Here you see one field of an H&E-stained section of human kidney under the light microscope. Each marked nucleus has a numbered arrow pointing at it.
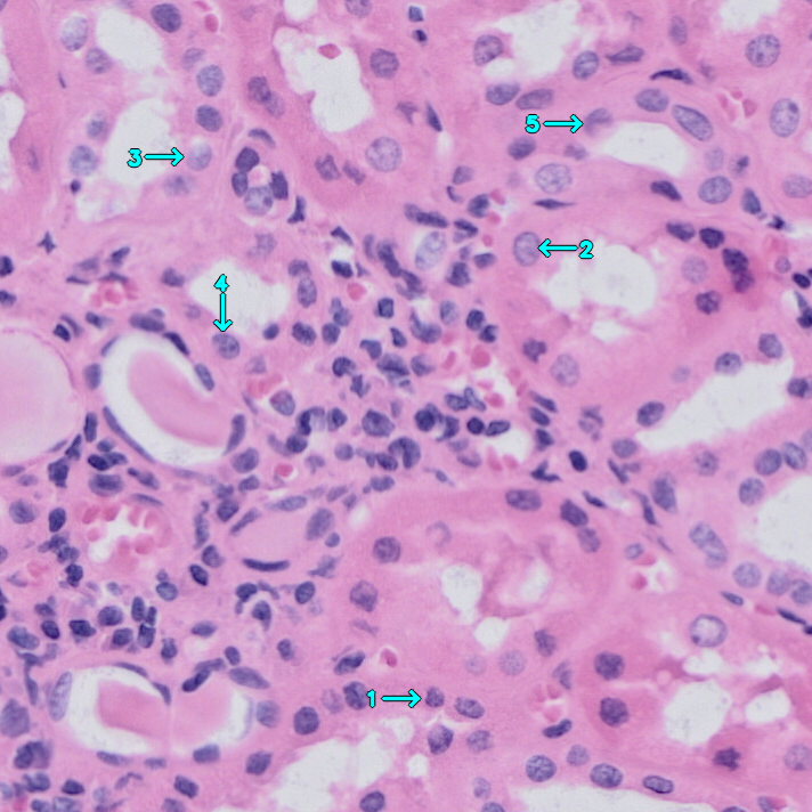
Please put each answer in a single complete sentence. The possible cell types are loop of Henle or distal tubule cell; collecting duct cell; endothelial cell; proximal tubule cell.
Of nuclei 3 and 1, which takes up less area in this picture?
Nucleus 1 covers less area, with nucleus 3 about 1.5 times as large.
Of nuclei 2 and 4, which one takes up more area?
At about 1.5 times the area of nucleus 4, nucleus 2 is the larger of the two.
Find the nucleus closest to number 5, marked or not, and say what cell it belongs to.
The nucleus nearest to number 5 is that of a collecting duct cell.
